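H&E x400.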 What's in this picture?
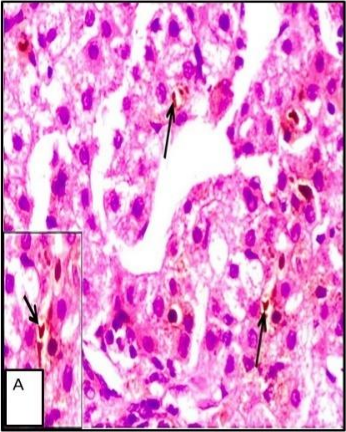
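Liver cells with pink granular cytoplasm and round purple nuclei lie in plates around an irregular open vessel. Between neighbouring cells, small yellow-brown plugs fill the narrow channels, and some cells hold brownish pigment. These plugs are bile retained within the canaliculi, intracanalicular cholestasis.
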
